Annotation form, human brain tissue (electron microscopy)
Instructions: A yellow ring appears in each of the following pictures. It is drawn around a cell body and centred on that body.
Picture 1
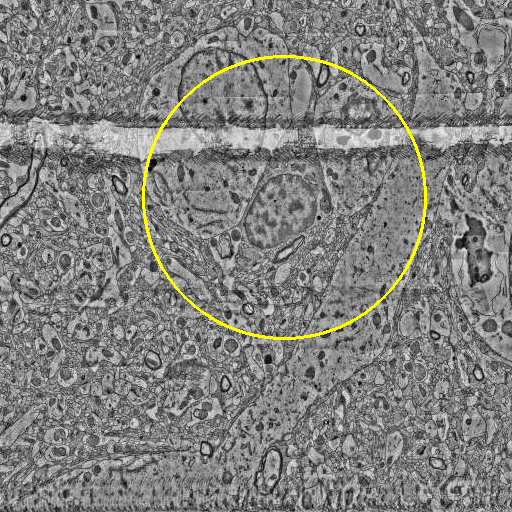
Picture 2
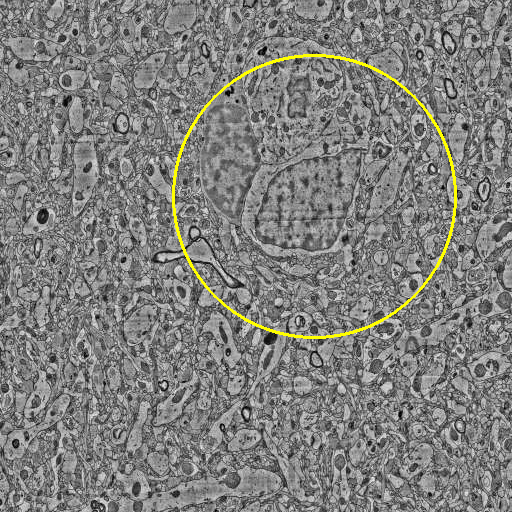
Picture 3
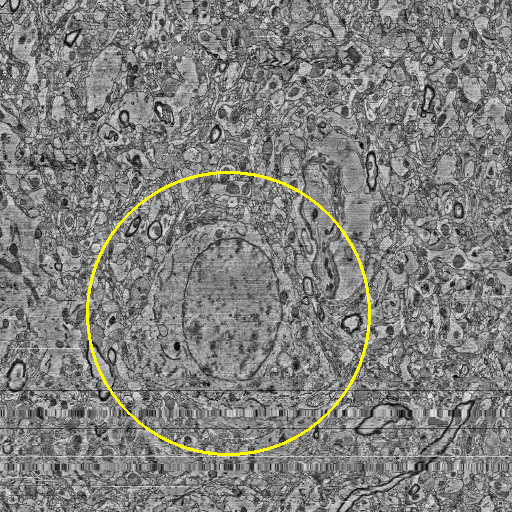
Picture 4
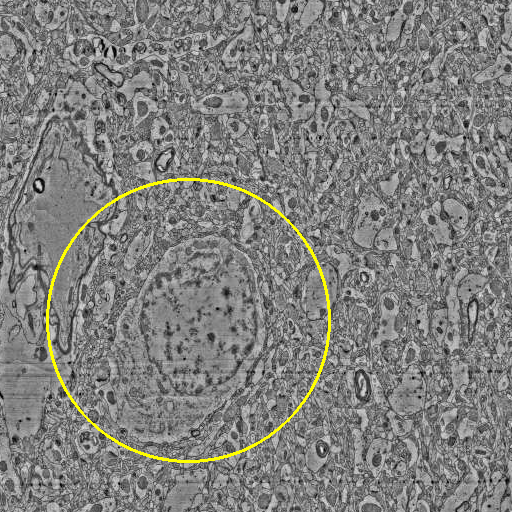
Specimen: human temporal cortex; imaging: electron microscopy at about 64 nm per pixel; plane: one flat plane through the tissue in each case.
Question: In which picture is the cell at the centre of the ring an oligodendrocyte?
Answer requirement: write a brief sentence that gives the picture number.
The cell at the centre of the ring in Picture 1 is the one asked for.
